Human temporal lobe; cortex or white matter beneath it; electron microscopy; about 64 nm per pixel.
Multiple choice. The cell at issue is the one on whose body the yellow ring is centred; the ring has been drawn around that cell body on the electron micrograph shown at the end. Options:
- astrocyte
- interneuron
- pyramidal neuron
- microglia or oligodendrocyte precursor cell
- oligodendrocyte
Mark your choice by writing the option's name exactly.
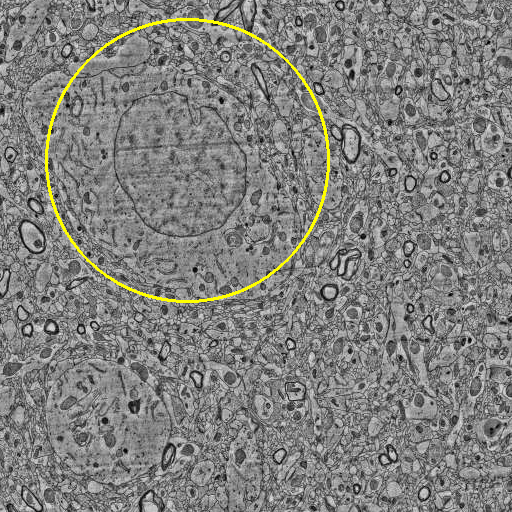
pyramidal neuron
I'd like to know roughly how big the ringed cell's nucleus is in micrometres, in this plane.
The nucleus has a long axis of about 10 micrometres and a short axis of about 8 micrometres in this plane.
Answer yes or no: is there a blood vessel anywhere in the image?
No, no vessel appears in the picture.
